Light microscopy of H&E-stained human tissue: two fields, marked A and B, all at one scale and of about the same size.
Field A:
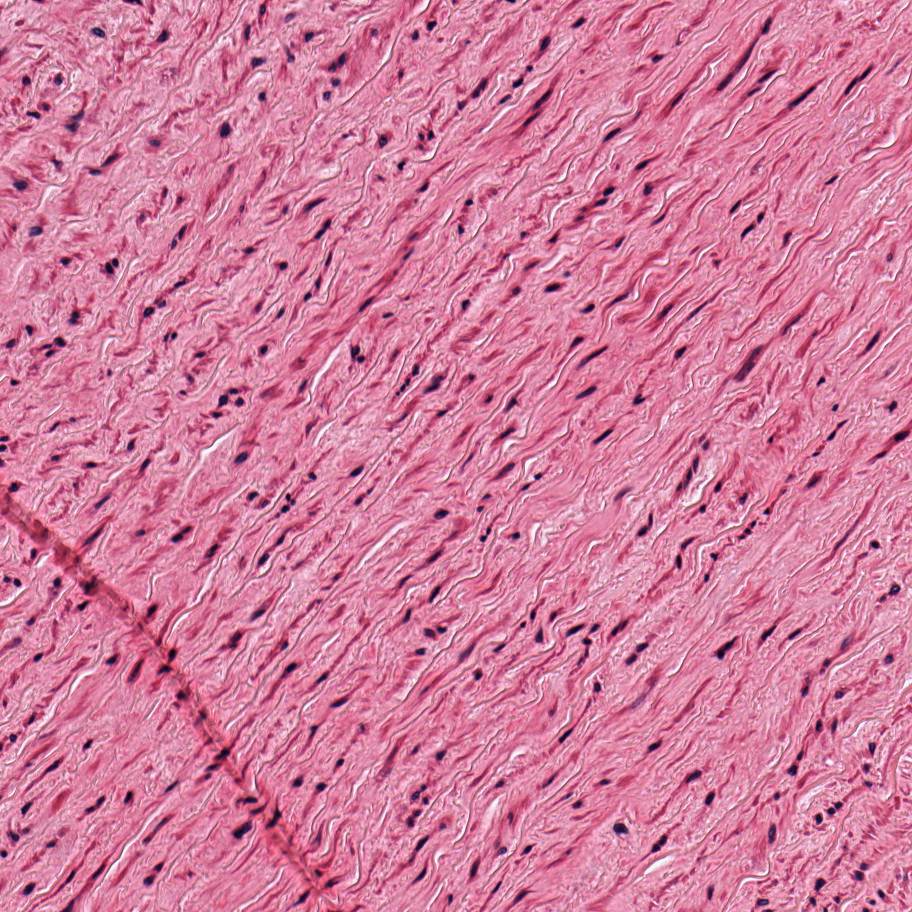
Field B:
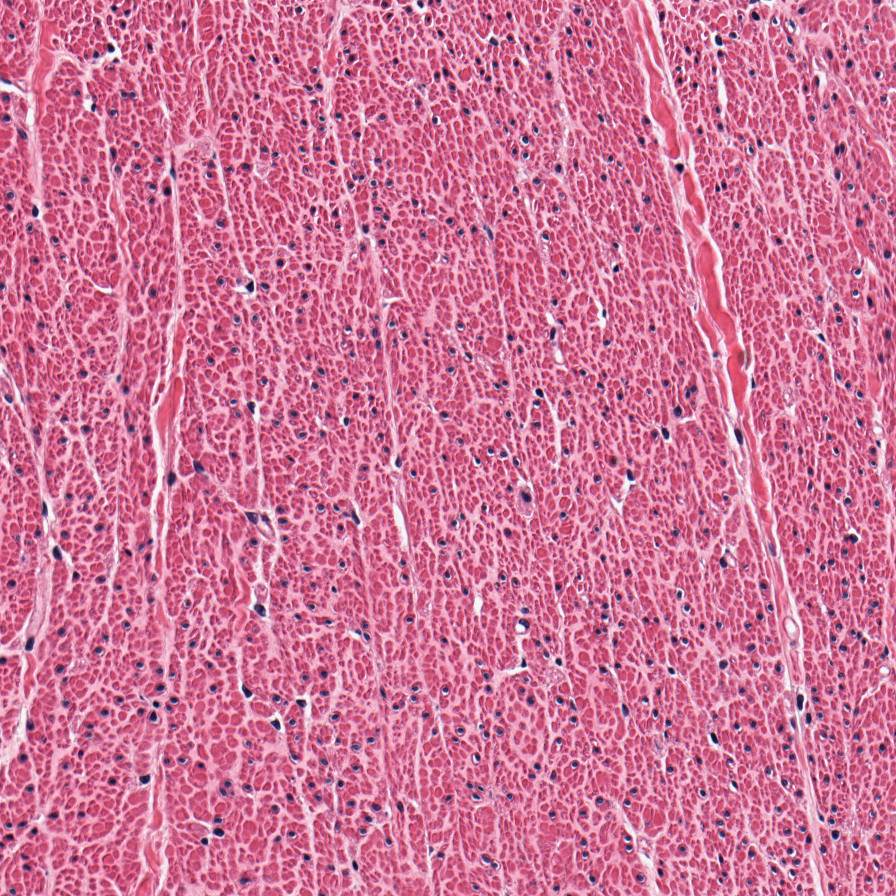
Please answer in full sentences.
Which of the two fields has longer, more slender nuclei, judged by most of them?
The nuclei are more elongated in field A.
